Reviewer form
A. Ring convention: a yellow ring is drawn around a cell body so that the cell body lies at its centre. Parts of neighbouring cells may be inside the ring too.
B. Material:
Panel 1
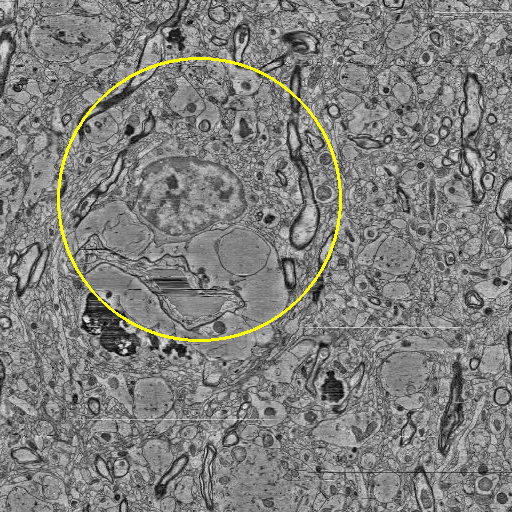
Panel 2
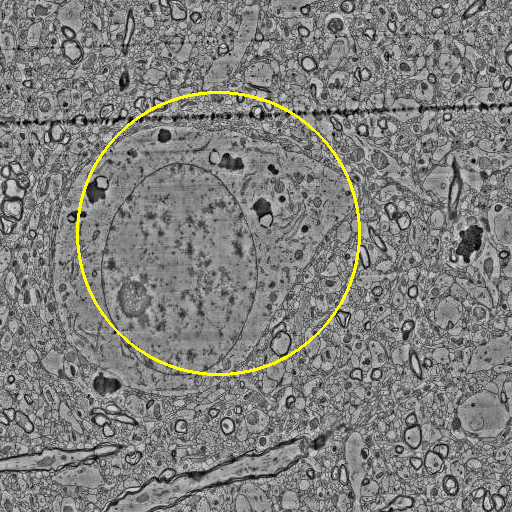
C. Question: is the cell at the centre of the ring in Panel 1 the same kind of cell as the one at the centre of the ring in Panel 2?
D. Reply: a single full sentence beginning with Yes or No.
No, the cells in Panel 1 and Panel 2 are two kinds of cell.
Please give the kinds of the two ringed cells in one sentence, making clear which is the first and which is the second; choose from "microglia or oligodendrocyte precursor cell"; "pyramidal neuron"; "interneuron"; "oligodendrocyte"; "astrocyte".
In the second picture the ringed cell is a pyramidal neuron; in the first it is an oligodendrocyte.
